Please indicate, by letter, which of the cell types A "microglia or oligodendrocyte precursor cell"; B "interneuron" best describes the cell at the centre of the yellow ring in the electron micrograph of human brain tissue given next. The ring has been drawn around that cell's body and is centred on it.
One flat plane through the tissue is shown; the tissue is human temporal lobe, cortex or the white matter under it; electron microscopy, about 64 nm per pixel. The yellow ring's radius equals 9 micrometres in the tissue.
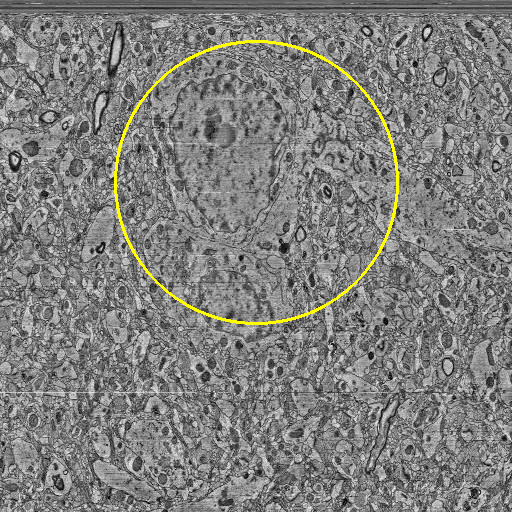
B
